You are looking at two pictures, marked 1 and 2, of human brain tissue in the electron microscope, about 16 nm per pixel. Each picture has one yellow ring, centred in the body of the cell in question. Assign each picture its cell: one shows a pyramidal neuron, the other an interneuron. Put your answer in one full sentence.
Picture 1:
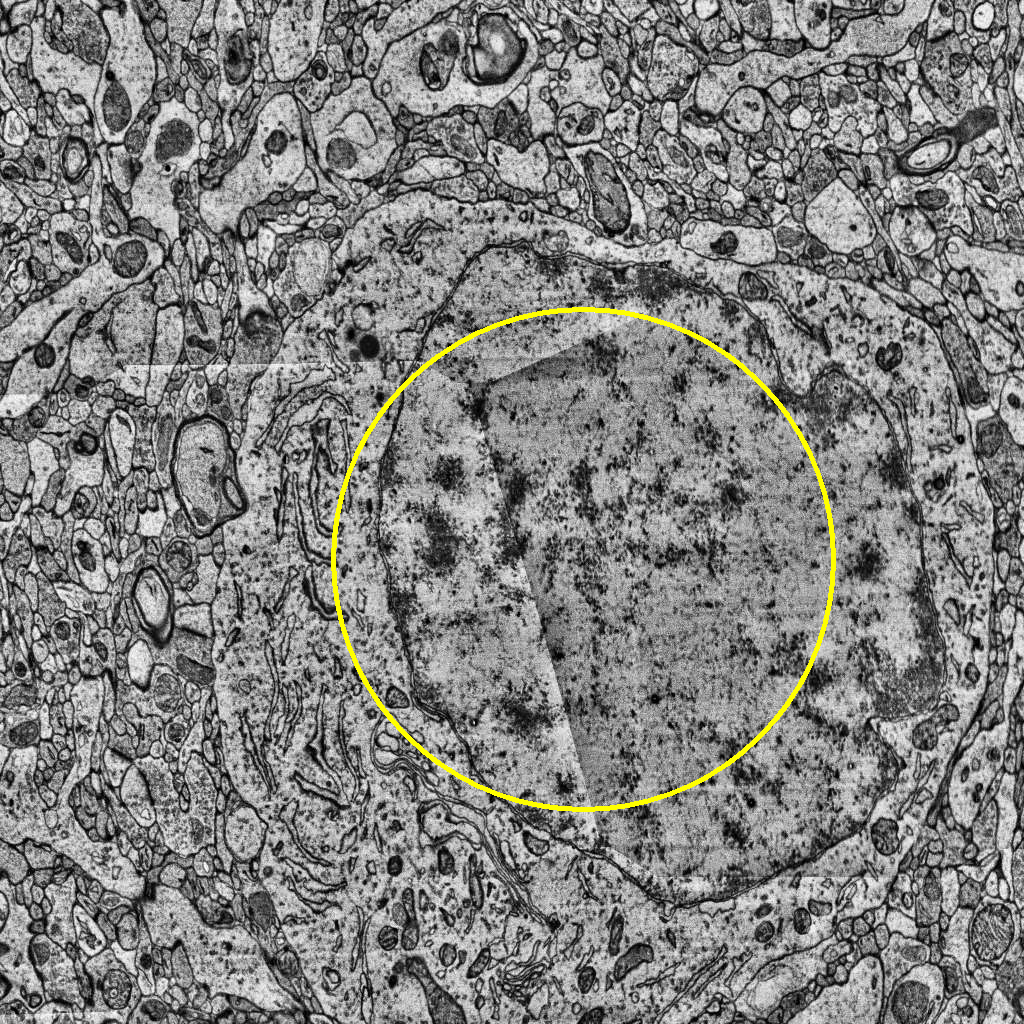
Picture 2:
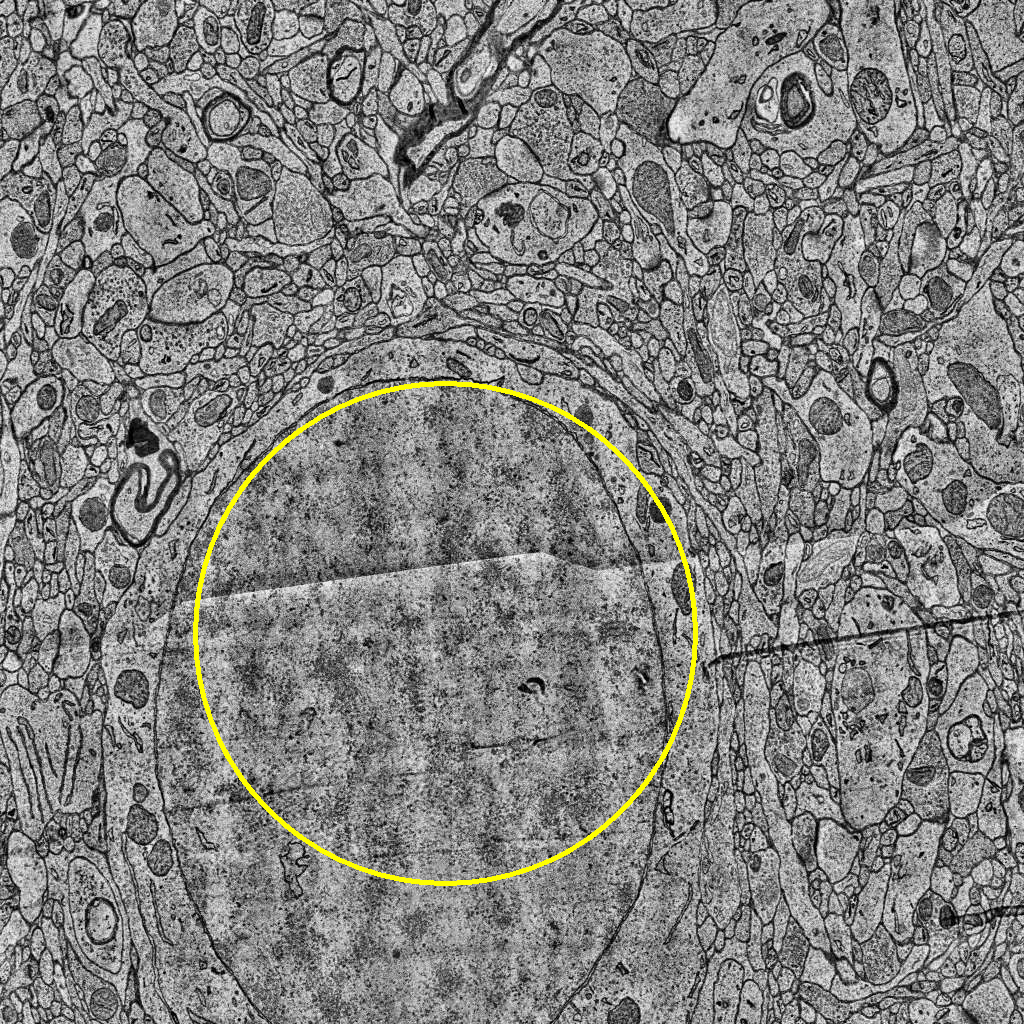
It is picture 1 that shows an interneuron, and picture 2 that shows a pyramidal neuron.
